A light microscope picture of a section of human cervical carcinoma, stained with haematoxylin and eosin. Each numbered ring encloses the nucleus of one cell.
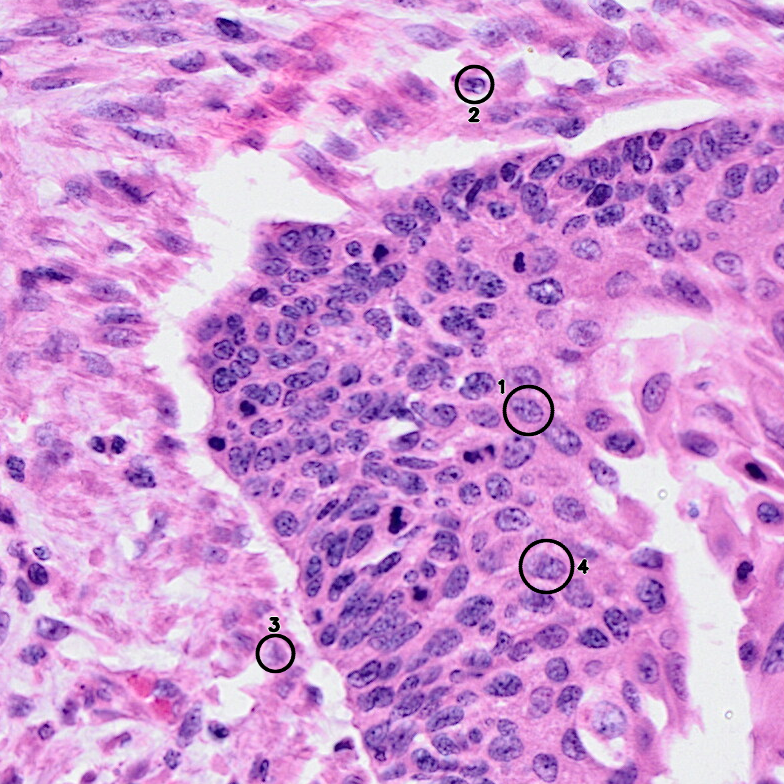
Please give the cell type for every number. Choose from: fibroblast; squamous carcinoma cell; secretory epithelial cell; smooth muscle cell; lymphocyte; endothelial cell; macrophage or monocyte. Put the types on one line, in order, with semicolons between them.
squamous carcinoma cell; macrophage or monocyte; fibroblast; squamous carcinoma cell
